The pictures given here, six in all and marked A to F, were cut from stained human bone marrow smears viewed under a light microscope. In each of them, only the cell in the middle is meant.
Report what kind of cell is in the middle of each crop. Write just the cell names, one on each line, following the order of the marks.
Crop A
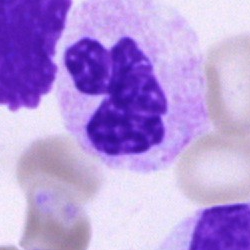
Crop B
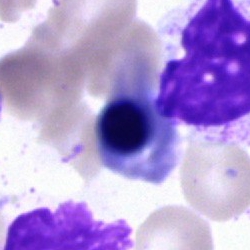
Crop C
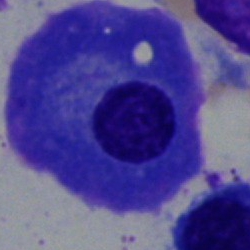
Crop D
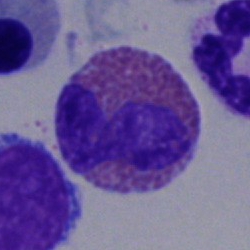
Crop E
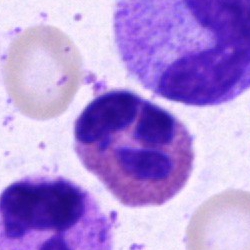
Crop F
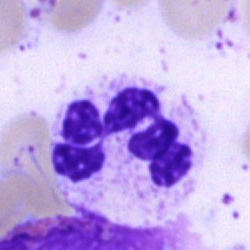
segmented neutrophil
erythroblast
plasma cell
eosinophil
eosinophil
segmented neutrophil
